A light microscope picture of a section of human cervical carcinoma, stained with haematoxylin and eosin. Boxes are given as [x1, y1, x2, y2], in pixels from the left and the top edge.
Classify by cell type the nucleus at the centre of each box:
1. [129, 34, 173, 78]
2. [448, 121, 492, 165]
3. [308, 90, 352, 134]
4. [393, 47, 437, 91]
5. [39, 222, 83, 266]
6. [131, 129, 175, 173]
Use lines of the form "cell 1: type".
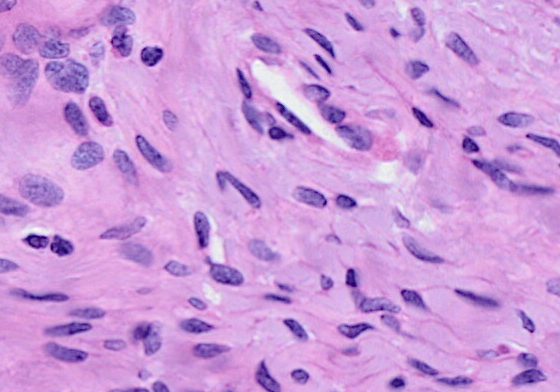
cell 1: lymphocyte
cell 2: fibroblast
cell 3: endothelial cell
cell 4: fibroblast
cell 5: lymphocyte
cell 6: fibroblast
